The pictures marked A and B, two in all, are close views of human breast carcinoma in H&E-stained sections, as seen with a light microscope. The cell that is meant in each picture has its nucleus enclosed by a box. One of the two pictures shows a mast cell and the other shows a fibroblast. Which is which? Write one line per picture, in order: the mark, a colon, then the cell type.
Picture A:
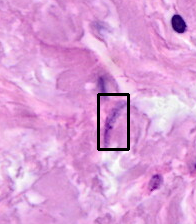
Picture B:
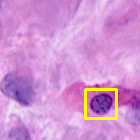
A: fibroblast
B: mast cell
